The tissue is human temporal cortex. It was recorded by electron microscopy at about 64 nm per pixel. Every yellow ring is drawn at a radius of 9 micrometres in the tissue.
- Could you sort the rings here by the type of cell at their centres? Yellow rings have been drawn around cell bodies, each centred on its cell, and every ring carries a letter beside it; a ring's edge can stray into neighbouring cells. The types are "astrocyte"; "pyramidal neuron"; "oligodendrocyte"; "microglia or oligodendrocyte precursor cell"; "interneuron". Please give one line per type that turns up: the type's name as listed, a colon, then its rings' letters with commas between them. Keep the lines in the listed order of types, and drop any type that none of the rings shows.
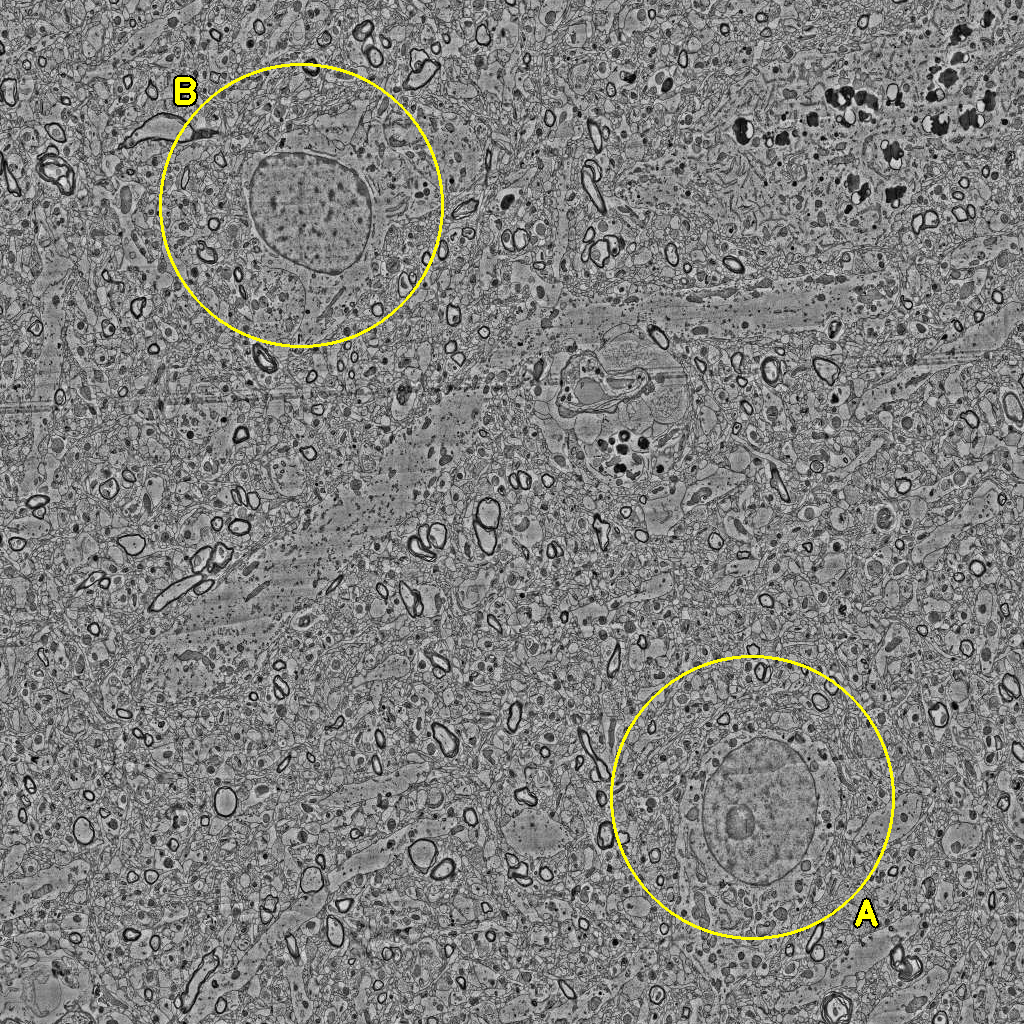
microglia or oligodendrocyte precursor cell: B
interneuron: A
